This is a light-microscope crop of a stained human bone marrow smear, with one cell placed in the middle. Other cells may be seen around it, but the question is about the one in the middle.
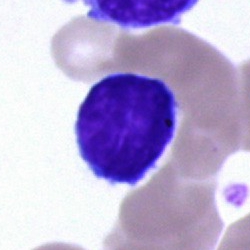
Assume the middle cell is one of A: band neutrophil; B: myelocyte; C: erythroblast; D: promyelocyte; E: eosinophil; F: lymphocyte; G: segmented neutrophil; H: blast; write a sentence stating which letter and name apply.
The cell in the centre of the crop is a lymphocyte, so option F is the correct one.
